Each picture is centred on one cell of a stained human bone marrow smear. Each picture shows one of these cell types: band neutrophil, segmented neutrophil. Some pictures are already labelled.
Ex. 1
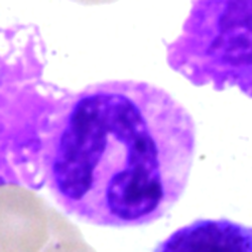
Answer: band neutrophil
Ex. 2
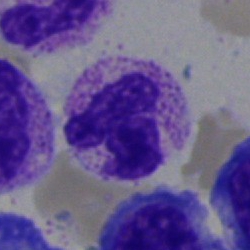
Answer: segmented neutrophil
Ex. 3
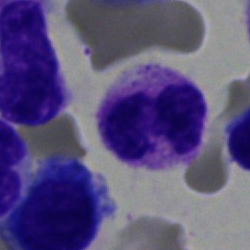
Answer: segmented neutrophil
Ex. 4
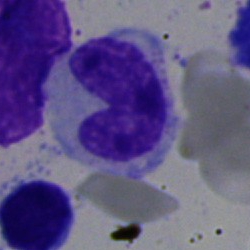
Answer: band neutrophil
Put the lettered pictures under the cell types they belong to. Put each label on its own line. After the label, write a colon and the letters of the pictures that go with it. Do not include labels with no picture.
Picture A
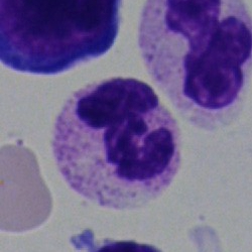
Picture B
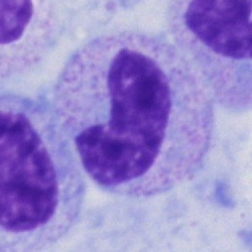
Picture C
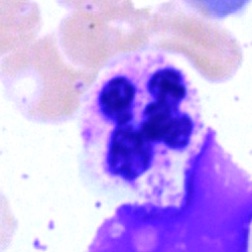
band neutrophil: B
segmented neutrophil: A, C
